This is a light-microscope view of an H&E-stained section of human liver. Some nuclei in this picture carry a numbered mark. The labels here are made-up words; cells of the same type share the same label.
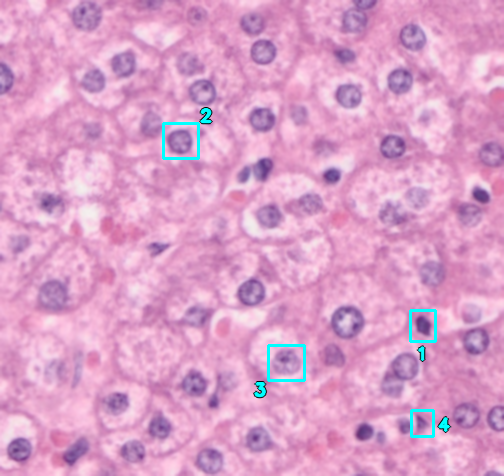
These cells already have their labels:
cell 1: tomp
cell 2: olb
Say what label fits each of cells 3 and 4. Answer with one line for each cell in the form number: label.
3: olb
4: tomp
